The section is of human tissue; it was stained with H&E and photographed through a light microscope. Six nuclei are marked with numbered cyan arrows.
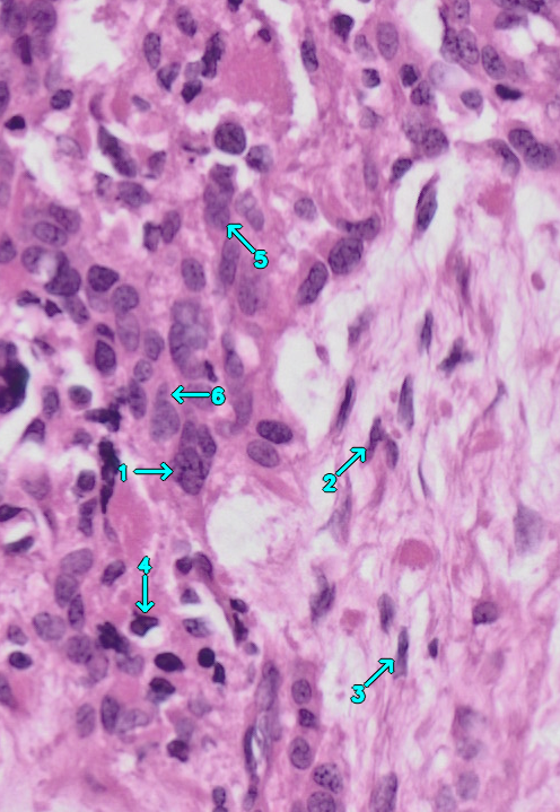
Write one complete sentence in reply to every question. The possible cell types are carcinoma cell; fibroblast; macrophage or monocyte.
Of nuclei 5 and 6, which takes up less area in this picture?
It is nucleus 6; nucleus 5 has about 2 times its area.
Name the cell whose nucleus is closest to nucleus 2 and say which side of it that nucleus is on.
A fibroblast lies closest, below and to the right of nucleus 2.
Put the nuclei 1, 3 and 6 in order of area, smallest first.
Smallest first, the nuclei run 6, 3, 1.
